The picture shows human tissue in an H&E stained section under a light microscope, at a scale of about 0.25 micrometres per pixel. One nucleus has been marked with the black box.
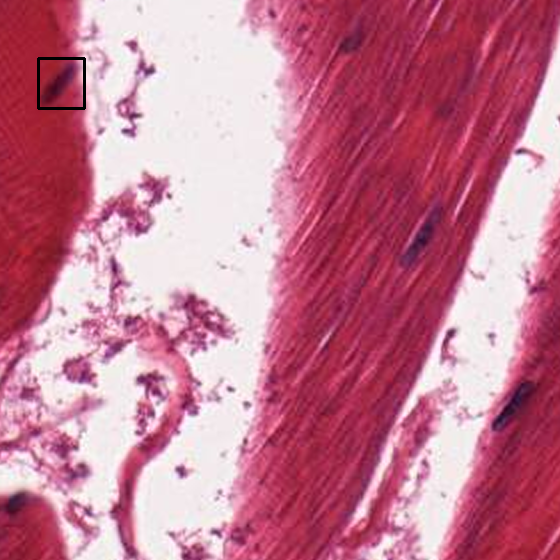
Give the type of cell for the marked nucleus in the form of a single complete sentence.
The nucleus picked out by the mark is that of a skeletal muscle fibre.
